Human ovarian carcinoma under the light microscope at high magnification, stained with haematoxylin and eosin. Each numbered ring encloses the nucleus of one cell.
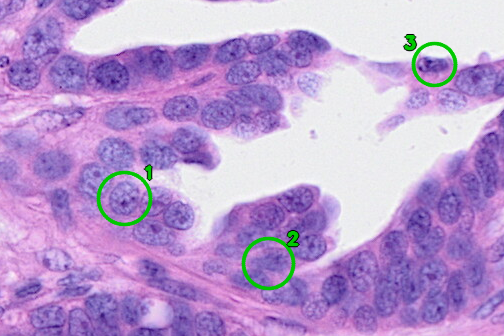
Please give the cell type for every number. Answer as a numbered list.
1. carcinoma cell
2. carcinoma cell
3. macrophage or monocyte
